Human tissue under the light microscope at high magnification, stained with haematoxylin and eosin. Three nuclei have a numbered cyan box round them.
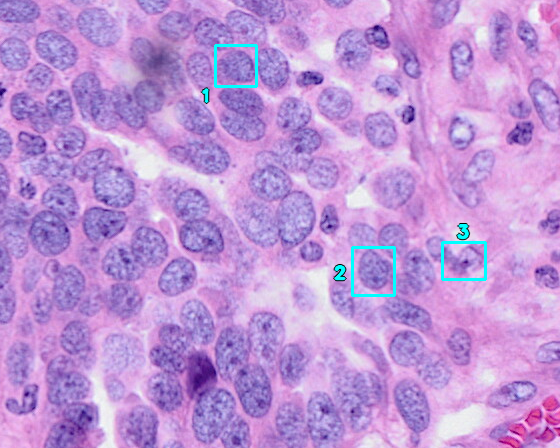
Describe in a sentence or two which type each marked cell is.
Cell 1 is a carcinoma cell, cell 2 is a carcinoma cell and cell 3 is a fibroblast.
